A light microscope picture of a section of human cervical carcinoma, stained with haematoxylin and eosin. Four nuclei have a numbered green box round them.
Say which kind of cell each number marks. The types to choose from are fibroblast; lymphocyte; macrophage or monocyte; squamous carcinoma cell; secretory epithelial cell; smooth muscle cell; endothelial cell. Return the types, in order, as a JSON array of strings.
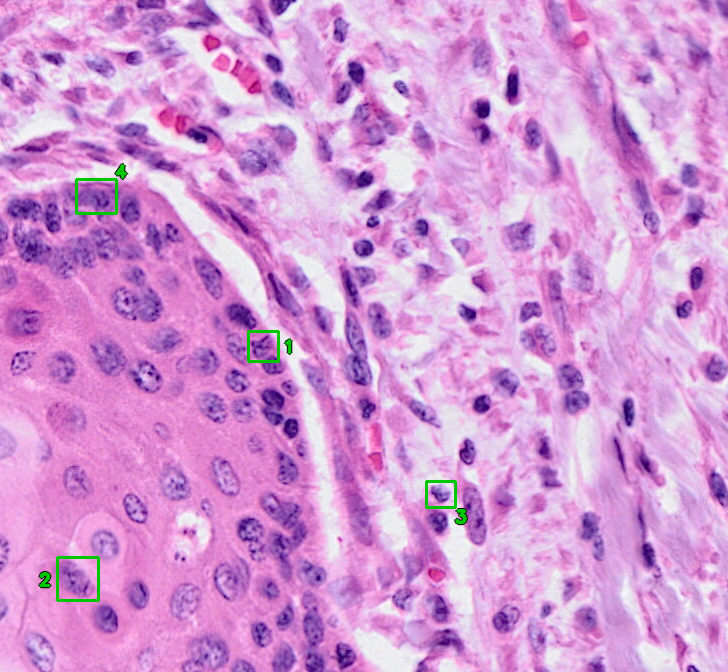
["squamous carcinoma cell", "squamous carcinoma cell", "lymphocyte", "squamous carcinoma cell"]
